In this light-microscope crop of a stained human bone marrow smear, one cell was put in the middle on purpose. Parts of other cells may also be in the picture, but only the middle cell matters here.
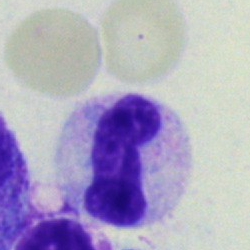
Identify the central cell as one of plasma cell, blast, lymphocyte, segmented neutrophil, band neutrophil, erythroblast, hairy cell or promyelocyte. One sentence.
The cell at the central position in this crop is a band neutrophil.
